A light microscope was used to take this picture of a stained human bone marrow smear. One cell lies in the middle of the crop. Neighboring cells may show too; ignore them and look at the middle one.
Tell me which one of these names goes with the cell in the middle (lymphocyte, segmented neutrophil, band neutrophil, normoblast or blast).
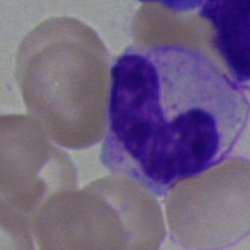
band neutrophil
